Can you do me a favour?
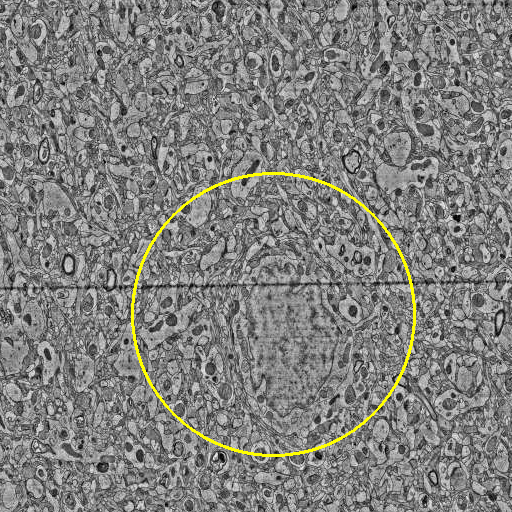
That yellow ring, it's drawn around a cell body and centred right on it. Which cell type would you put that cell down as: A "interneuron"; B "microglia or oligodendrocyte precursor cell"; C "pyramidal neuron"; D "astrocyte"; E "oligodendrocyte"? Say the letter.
A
